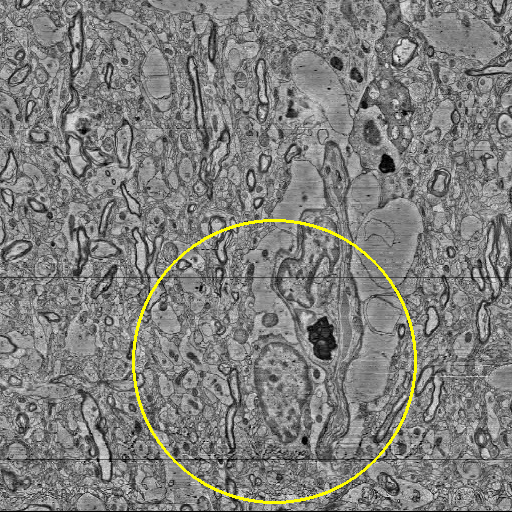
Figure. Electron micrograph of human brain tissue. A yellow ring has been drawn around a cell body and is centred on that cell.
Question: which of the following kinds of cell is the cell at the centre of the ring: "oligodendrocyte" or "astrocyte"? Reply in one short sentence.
The cell at the centre of the ring is an oligodendrocyte.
